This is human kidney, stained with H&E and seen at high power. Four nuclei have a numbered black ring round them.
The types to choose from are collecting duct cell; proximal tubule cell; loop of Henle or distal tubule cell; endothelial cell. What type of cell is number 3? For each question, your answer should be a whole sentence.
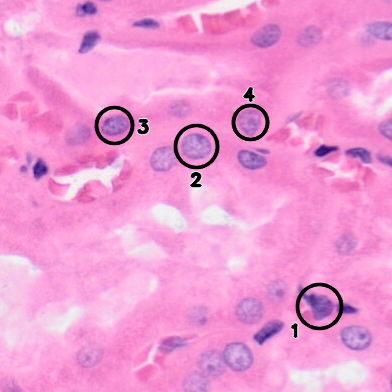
The cell marked with number 3 is a proximal tubule cell.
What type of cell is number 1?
In this section, the cell numbered 1 is an endothelial cell.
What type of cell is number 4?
Corresponding to a proximal tubule cell is the cell labelled 4.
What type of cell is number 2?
Classified as a proximal tubule cell is the cell with the number 2.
